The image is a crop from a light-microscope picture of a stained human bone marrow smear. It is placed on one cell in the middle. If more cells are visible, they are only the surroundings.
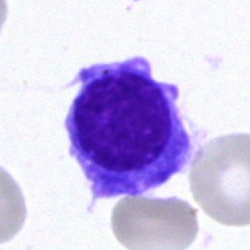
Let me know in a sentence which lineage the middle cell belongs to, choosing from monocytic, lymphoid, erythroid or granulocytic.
What the central cell belongs to is the lymphoid lineage.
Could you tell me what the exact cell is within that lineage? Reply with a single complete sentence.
The crop centres on a single cell, and that cell is a lymphocyte.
